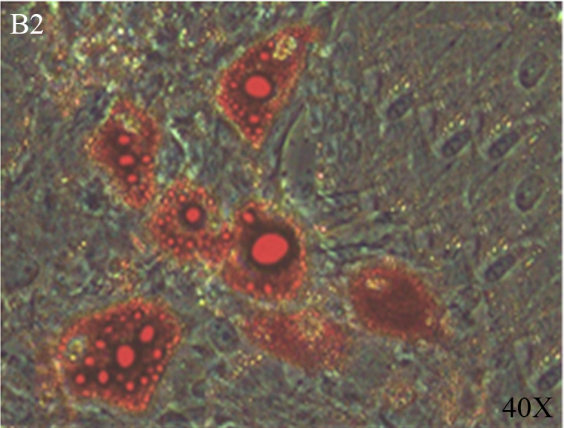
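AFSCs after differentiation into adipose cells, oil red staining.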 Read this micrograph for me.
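A group of large, rounded to polygonal cells stands out in the centre, their cytoplasm crowded with round droplets stained bright red. The droplets vary in size: in several cells one or a few large droplets sit centrally, surrounded by many smaller ones. Between and around this cluster lie flatter, less stained cells with oval nuclei and greyish granular cytoplasm, some carrying only small yellowish-orange granules. The red-filled cells appear larger and plumper than the surrounding flat cells.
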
